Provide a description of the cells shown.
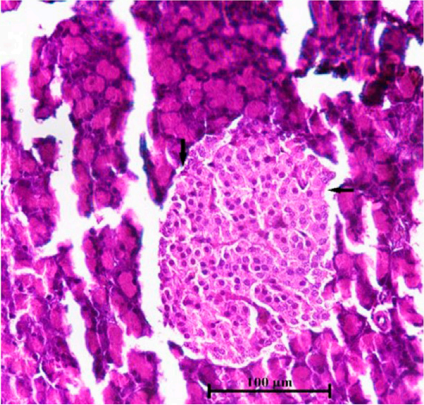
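Pancreas with a large, oval pancreatic islet surrounded by exocrine acini. The islet appears as a pale pink field of many densely packed small cells with round purple nuclei and lightly stained cytoplasm, clearly set off from the surrounding tissue. The acinar cells around it are larger, with deep purple-pink cytoplasm and dark nuclei, grouped in lobules separated by wide clear clefts. The islet fills much of the field and is wider than the scale bar.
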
